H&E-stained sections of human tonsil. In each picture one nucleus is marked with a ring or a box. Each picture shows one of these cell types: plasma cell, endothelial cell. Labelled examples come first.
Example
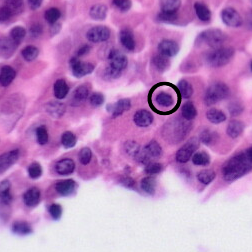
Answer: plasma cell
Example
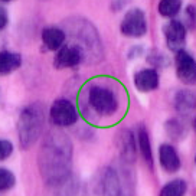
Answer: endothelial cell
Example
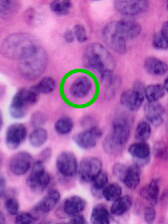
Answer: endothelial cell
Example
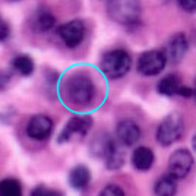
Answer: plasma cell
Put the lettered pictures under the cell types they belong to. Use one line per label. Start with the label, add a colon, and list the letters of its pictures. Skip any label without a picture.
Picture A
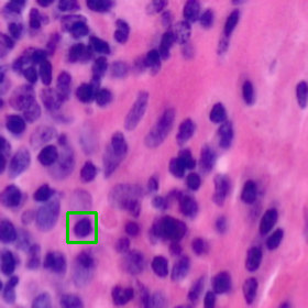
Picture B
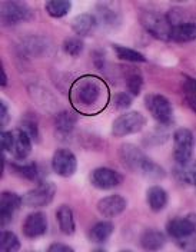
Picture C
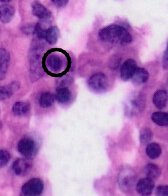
plasma cell: C
endothelial cell: A, B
